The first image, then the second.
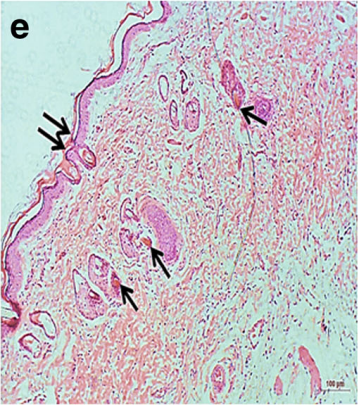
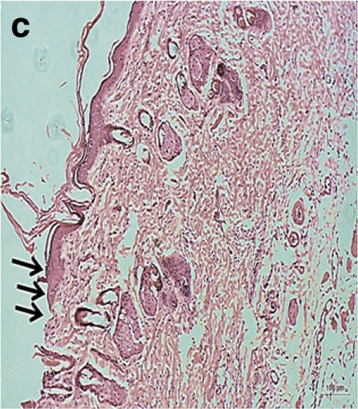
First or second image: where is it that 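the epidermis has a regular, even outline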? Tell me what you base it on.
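First image: the surface layer is a thin continuous band following a smooth wavy line. Second image: the surface layer is ragged, with strands lifting off it. On this evidence: the first image.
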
